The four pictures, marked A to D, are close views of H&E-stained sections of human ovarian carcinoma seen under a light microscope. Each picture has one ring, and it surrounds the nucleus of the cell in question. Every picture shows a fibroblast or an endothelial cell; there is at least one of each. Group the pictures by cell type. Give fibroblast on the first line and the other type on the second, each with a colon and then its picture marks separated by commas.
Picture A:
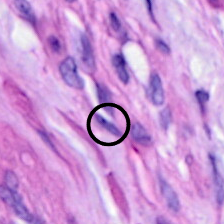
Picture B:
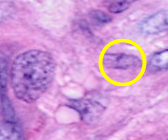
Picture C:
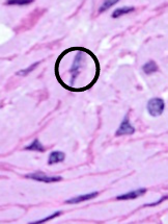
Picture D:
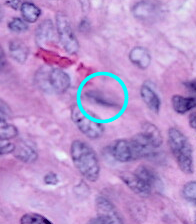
fibroblast: B, C
endothelial cell: A, D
